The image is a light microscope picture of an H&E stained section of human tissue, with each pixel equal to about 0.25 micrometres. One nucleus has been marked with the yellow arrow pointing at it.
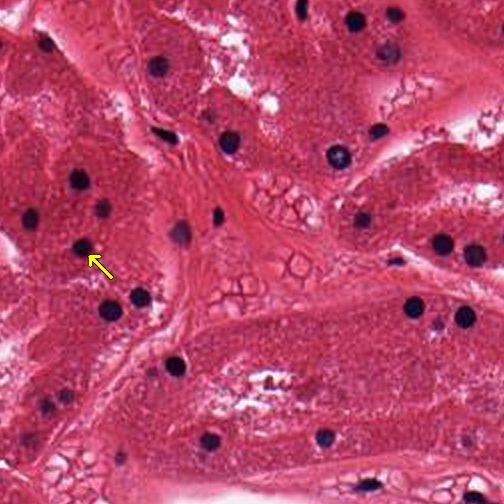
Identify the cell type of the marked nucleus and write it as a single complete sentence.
The marked nucleus belongs to a proximal tubule cell.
